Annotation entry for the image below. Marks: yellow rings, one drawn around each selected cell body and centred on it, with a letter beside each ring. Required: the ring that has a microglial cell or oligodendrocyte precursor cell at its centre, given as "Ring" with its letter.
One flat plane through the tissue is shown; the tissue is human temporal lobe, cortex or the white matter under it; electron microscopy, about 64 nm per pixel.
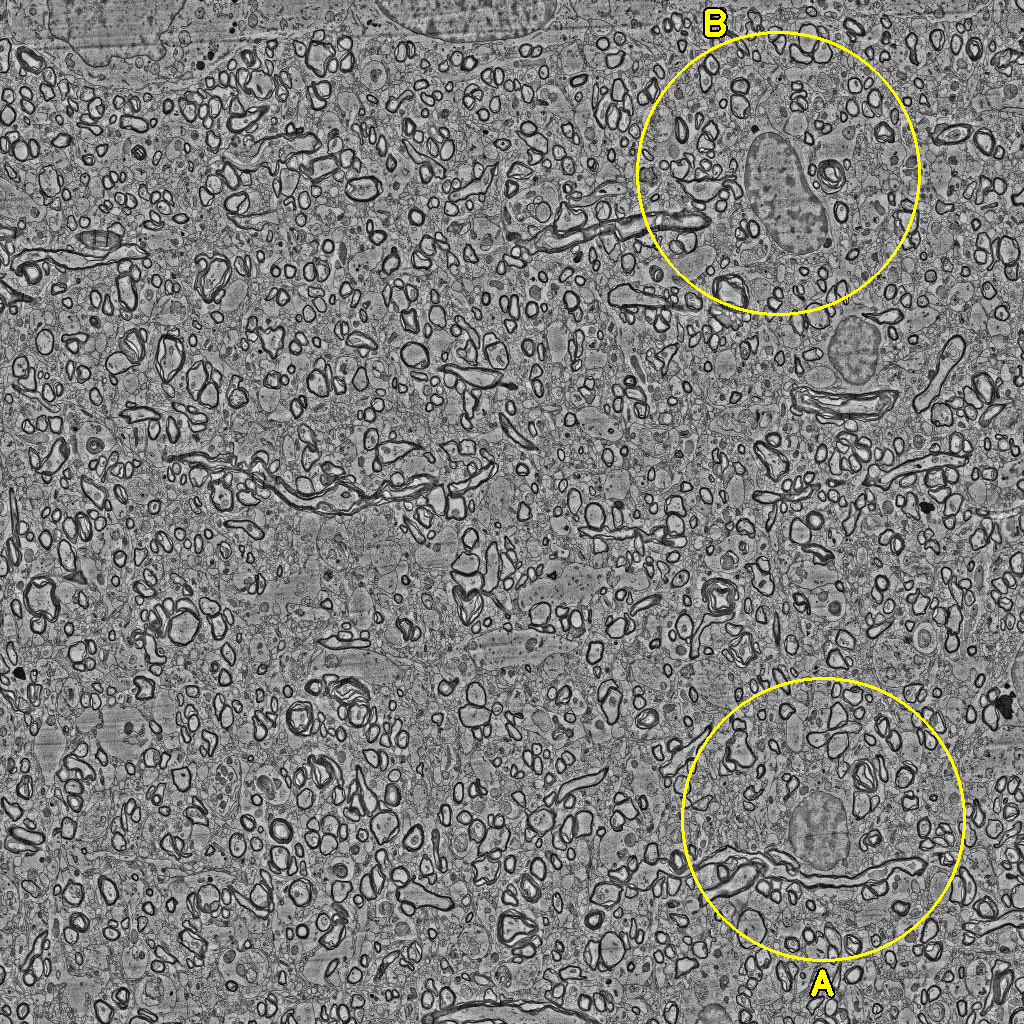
Ring B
